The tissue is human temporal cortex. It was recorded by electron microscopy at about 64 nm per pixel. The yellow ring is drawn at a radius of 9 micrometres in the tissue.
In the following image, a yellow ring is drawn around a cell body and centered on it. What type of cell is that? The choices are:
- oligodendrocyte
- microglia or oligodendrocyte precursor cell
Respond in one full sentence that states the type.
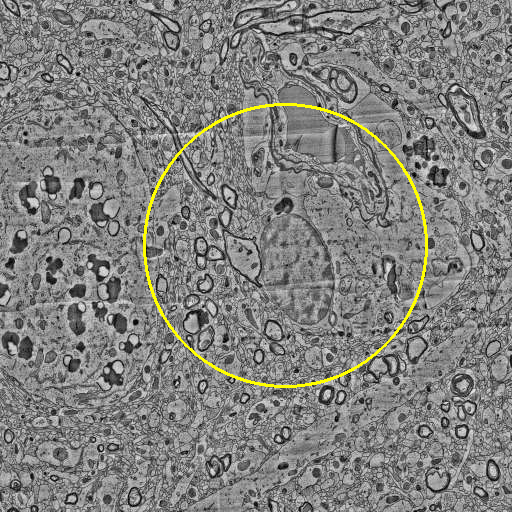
The cell at the center of the yellow ring in the image is an oligodendrocyte.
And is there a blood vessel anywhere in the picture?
Yes.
